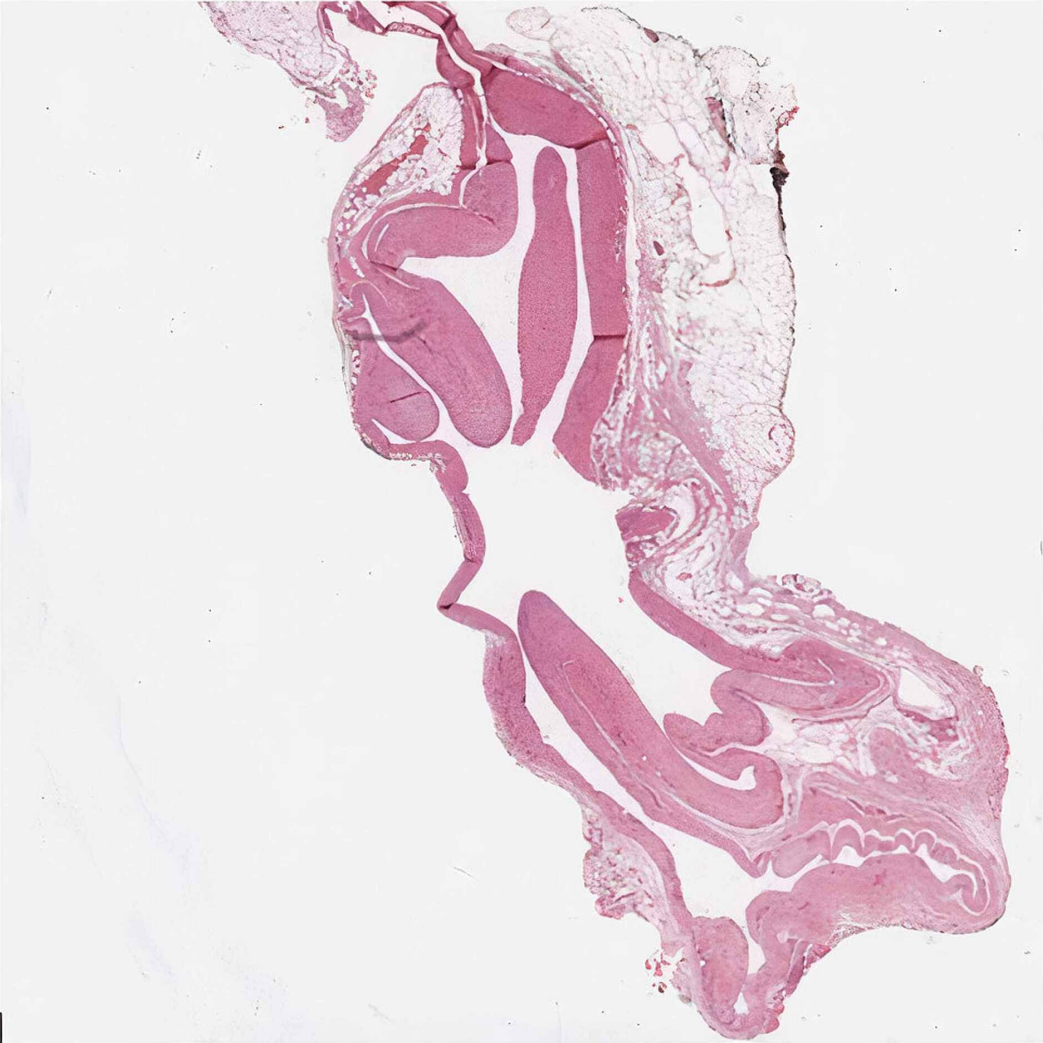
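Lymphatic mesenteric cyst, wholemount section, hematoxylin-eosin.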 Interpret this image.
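Along the upper right side and around parts of the wall there is pale, lace-like tissue made of many empty rounded spaces, which has the look of fatty connective tissue. The space in the middle is empty and white. At this magnification the single cells lining the space cannot be made out, only the general layout of the wall and its surroundings.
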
